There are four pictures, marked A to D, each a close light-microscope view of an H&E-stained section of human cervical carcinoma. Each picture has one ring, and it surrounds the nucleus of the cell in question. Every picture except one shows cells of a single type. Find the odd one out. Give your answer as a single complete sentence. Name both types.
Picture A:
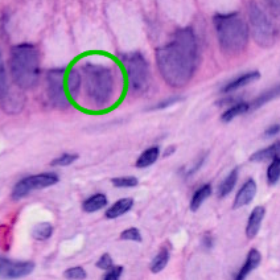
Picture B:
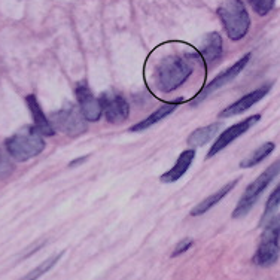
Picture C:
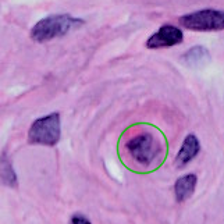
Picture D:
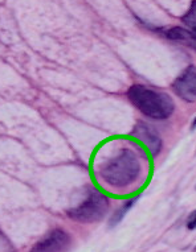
The different one is picture C; it shows an endothelial cell, whereas all the others show secretory epithelial cells.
